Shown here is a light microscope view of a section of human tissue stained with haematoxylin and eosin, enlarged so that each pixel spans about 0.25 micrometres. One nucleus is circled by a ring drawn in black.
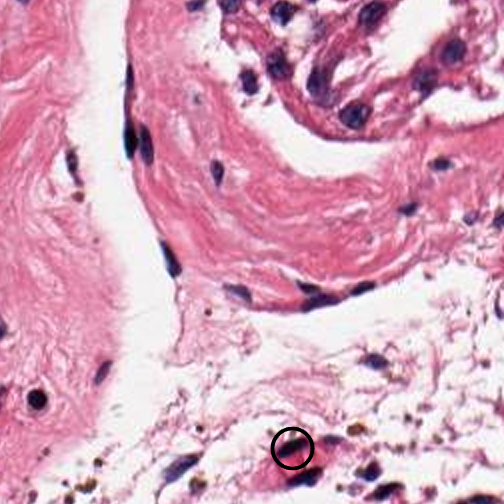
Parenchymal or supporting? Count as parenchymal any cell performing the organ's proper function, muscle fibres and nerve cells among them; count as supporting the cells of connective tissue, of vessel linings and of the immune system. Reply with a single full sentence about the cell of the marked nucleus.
The marked nucleus is found in a supporting cell.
